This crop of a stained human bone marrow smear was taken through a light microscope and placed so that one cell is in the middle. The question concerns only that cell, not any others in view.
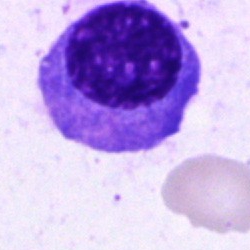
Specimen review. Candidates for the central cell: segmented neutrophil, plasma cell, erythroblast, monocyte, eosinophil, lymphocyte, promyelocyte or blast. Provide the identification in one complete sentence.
This particular crop is centered on a plasma cell.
